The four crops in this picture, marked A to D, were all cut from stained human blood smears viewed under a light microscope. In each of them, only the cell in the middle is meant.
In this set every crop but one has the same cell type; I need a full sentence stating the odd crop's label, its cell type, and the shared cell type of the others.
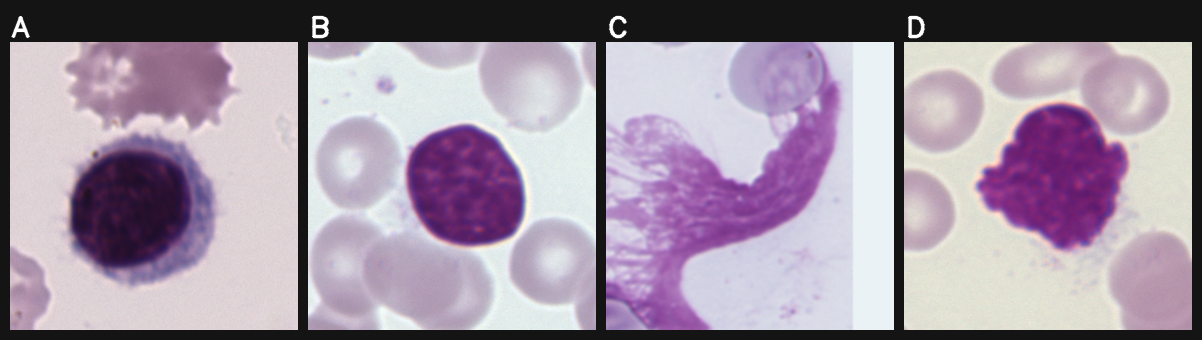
The rest of the crops show smudge cells; crop A is the one showing a hairy cell.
